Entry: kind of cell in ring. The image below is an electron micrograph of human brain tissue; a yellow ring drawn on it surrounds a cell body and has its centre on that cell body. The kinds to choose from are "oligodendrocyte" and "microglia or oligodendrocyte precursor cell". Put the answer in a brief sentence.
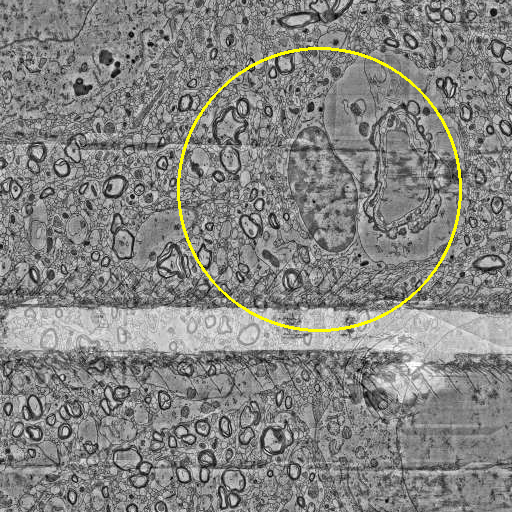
The ring has been drawn around a microglial cell or oligodendrocyte precursor cell.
